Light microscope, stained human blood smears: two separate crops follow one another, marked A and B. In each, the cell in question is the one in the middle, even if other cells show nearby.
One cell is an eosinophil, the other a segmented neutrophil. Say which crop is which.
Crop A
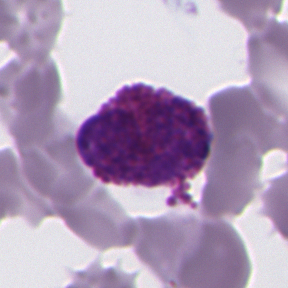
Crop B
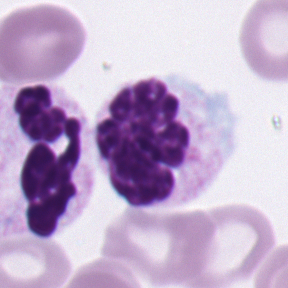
A: eosinophil
B: segmented neutrophil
